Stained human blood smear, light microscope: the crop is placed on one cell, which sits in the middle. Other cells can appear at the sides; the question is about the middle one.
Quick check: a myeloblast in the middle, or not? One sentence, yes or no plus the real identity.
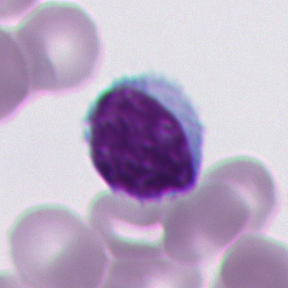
No, the central cell is properly termed a typical lymphocyte, not a myeloblast.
